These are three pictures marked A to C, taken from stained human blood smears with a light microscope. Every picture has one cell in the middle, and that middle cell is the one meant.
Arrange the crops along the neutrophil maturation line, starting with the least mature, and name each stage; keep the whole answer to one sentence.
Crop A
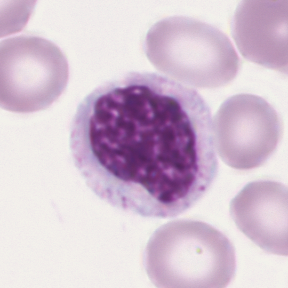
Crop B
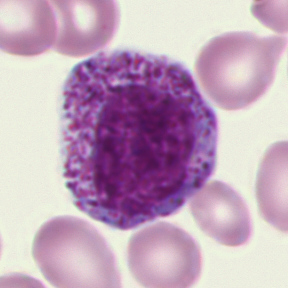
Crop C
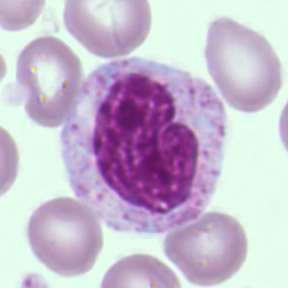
Once sorted from least to most mature, the sequence is crop B (a promyelocyte), crop A (a metamyelocyte) and crop C (a band neutrophil).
